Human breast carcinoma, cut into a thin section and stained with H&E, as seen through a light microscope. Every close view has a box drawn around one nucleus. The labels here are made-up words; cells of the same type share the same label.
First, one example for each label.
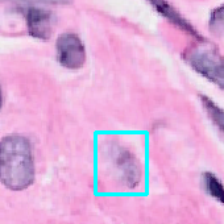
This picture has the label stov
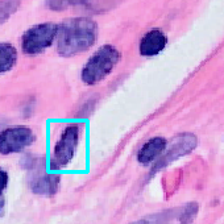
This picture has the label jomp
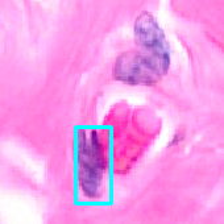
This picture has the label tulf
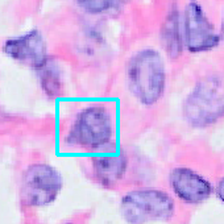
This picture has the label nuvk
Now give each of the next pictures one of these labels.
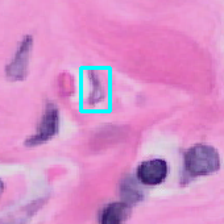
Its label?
tulf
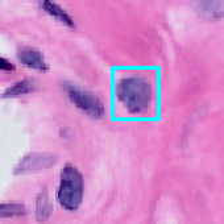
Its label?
jomp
